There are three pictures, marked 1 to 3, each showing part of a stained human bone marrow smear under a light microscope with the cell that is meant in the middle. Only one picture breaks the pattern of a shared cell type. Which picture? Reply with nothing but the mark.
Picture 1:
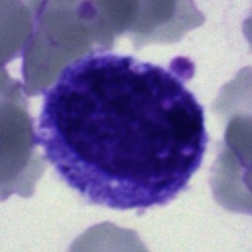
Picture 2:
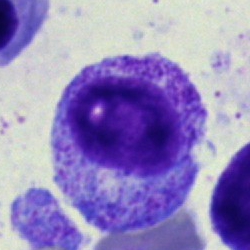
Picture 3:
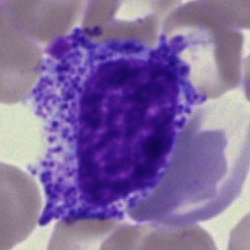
2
